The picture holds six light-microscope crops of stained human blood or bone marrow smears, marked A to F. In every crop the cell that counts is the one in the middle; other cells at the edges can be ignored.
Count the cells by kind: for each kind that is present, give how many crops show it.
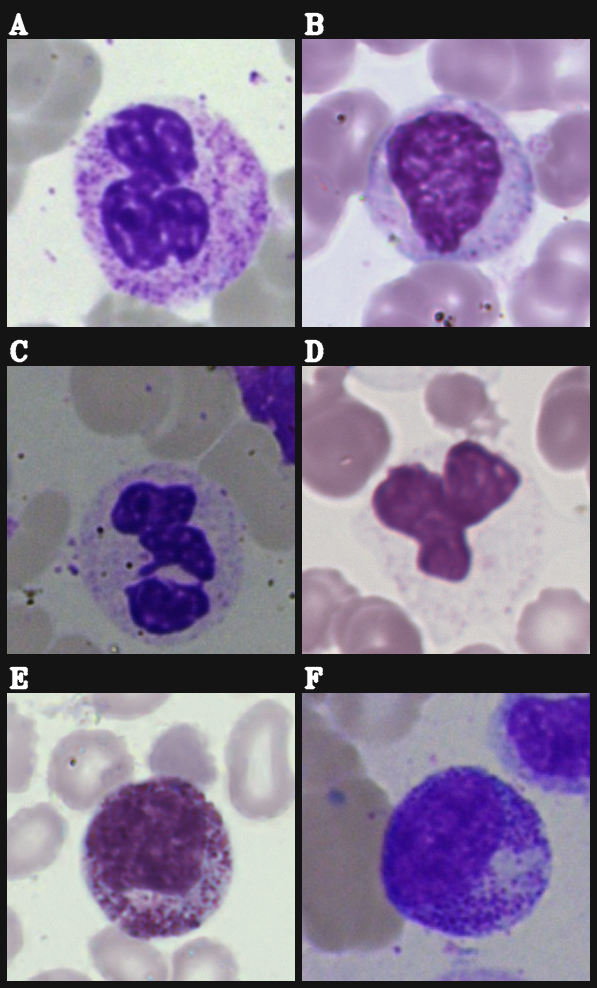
segmented neutrophil: 3
myelocyte: 3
